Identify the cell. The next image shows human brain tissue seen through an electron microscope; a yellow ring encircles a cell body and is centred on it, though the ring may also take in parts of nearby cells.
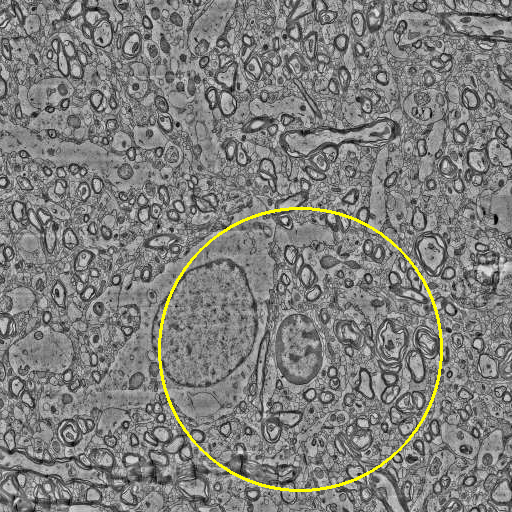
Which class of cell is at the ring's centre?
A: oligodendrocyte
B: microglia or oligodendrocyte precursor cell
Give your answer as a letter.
B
